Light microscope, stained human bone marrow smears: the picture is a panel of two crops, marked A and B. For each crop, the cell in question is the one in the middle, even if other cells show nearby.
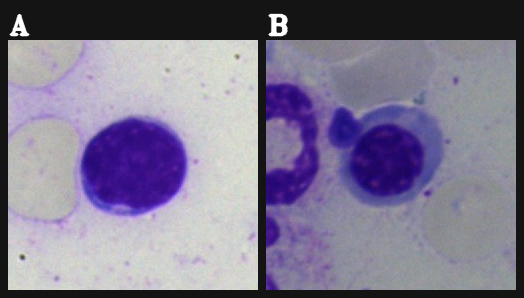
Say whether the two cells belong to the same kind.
no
